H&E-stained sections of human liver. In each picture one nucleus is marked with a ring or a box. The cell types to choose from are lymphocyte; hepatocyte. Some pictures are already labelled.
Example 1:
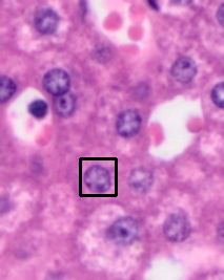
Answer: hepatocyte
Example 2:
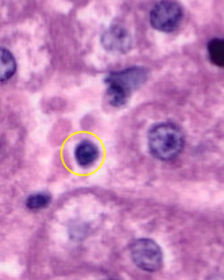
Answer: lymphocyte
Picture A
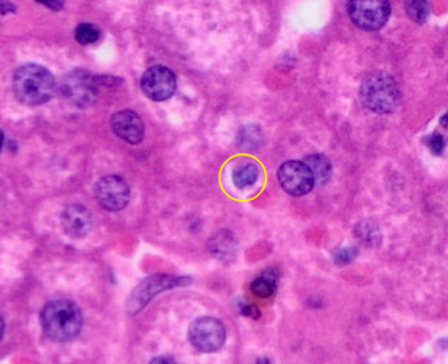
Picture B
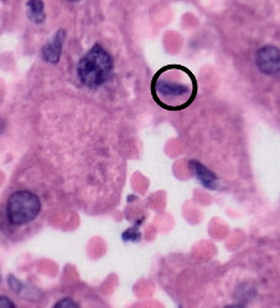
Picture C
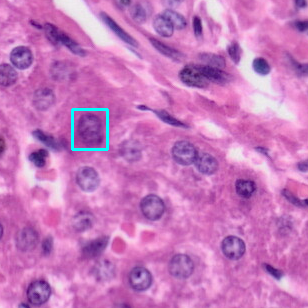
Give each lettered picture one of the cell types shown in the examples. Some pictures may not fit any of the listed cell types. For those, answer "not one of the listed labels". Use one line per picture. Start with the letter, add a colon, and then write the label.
A: lymphocyte
B: not one of the listed labels
C: hepatocyte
